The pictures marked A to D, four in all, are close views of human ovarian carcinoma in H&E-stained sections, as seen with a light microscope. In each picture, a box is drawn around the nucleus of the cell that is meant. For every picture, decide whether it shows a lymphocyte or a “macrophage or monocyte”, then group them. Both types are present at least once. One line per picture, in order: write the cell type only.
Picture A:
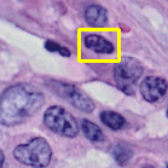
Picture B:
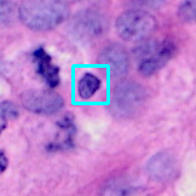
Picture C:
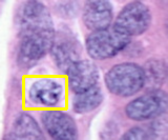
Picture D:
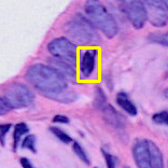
lymphocyte
lymphocyte
macrophage or monocyte
lymphocyte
